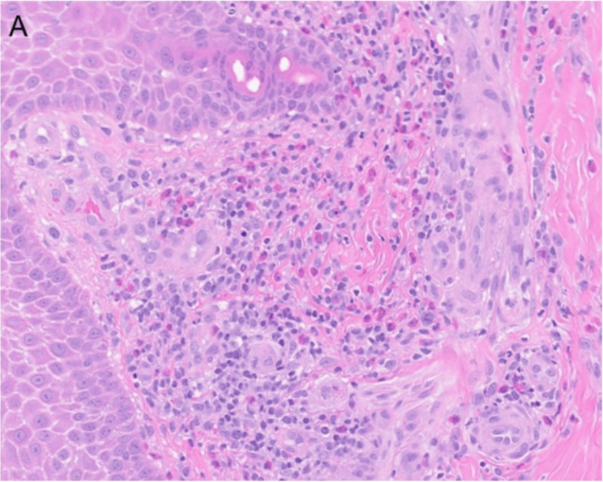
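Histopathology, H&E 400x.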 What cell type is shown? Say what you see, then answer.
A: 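Scattered cells with bright pink-red cytoplasm in the connective tissue below the epithelium. They lie among smaller dark-nucleated inflammatory cells. The answer: eosinophils.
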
